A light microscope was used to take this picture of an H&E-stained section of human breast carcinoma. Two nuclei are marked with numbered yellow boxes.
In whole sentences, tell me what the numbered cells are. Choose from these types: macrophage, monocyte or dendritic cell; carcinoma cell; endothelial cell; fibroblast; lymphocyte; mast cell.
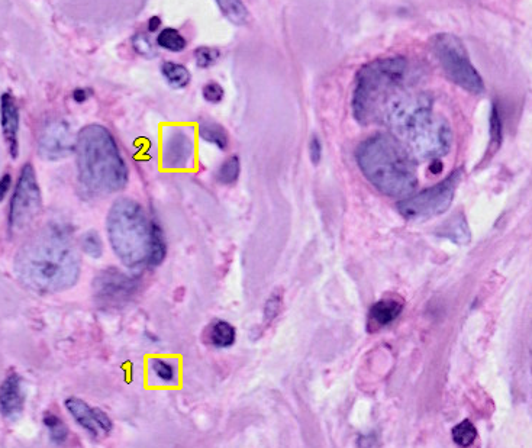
Cell 1 is a lymphocyte. Cell 2 is an endothelial cell.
